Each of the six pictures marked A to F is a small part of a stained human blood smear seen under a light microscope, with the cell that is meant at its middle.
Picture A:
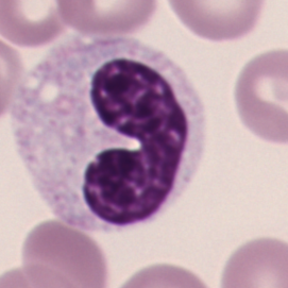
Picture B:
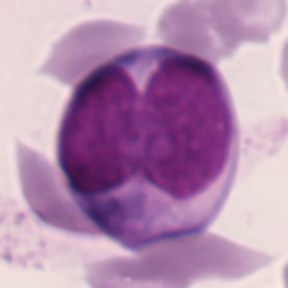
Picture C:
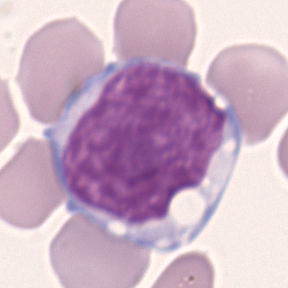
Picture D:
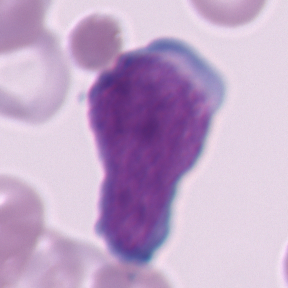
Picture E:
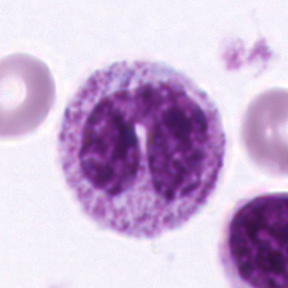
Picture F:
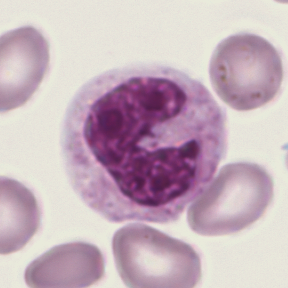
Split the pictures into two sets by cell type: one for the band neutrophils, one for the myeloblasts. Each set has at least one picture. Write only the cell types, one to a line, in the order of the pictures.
band neutrophil
myeloblast
myeloblast
myeloblast
band neutrophil
band neutrophil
